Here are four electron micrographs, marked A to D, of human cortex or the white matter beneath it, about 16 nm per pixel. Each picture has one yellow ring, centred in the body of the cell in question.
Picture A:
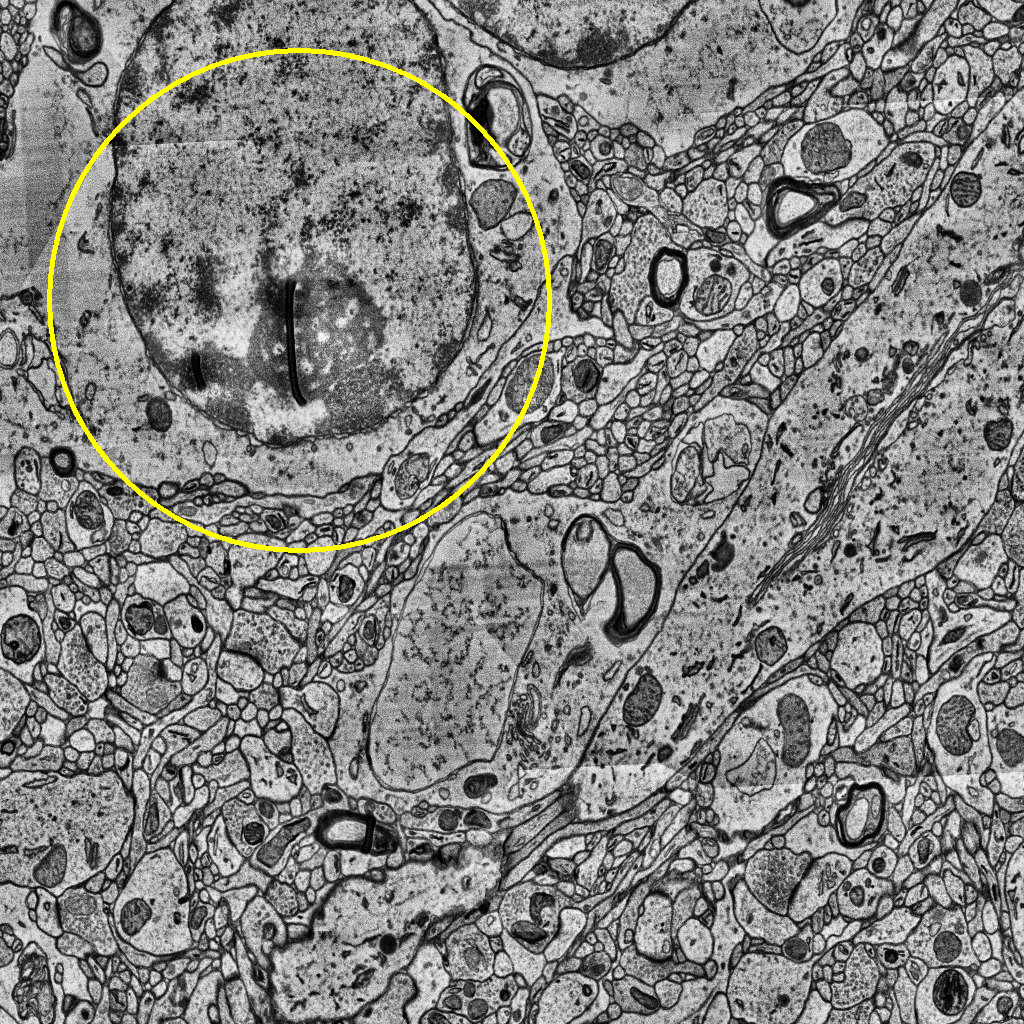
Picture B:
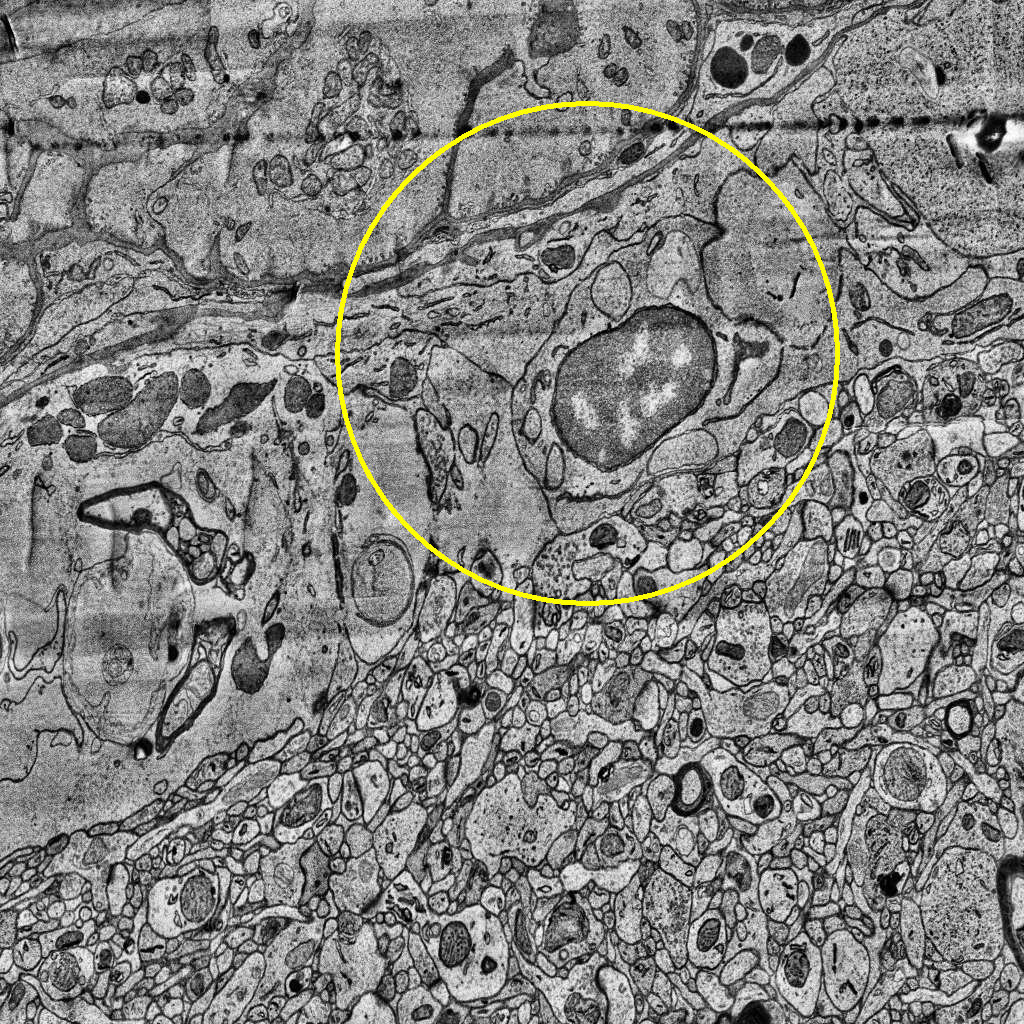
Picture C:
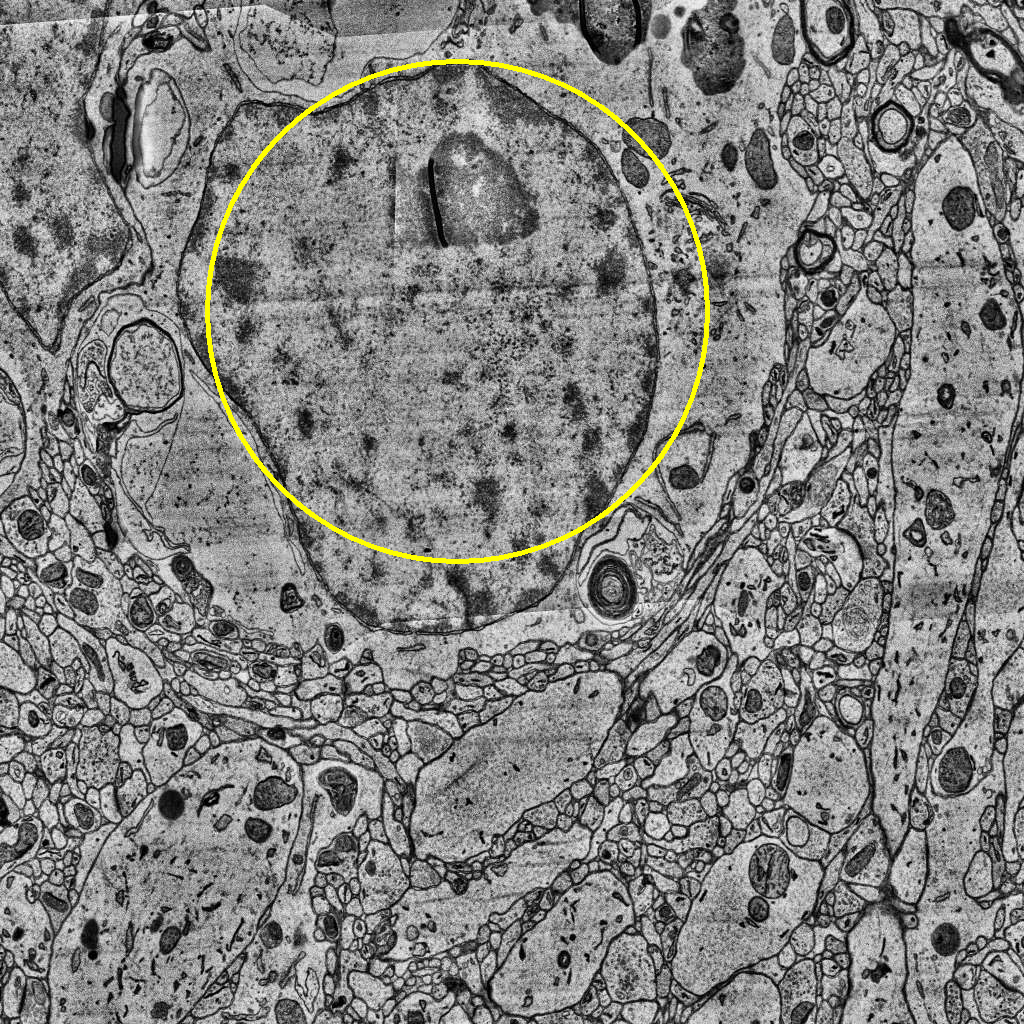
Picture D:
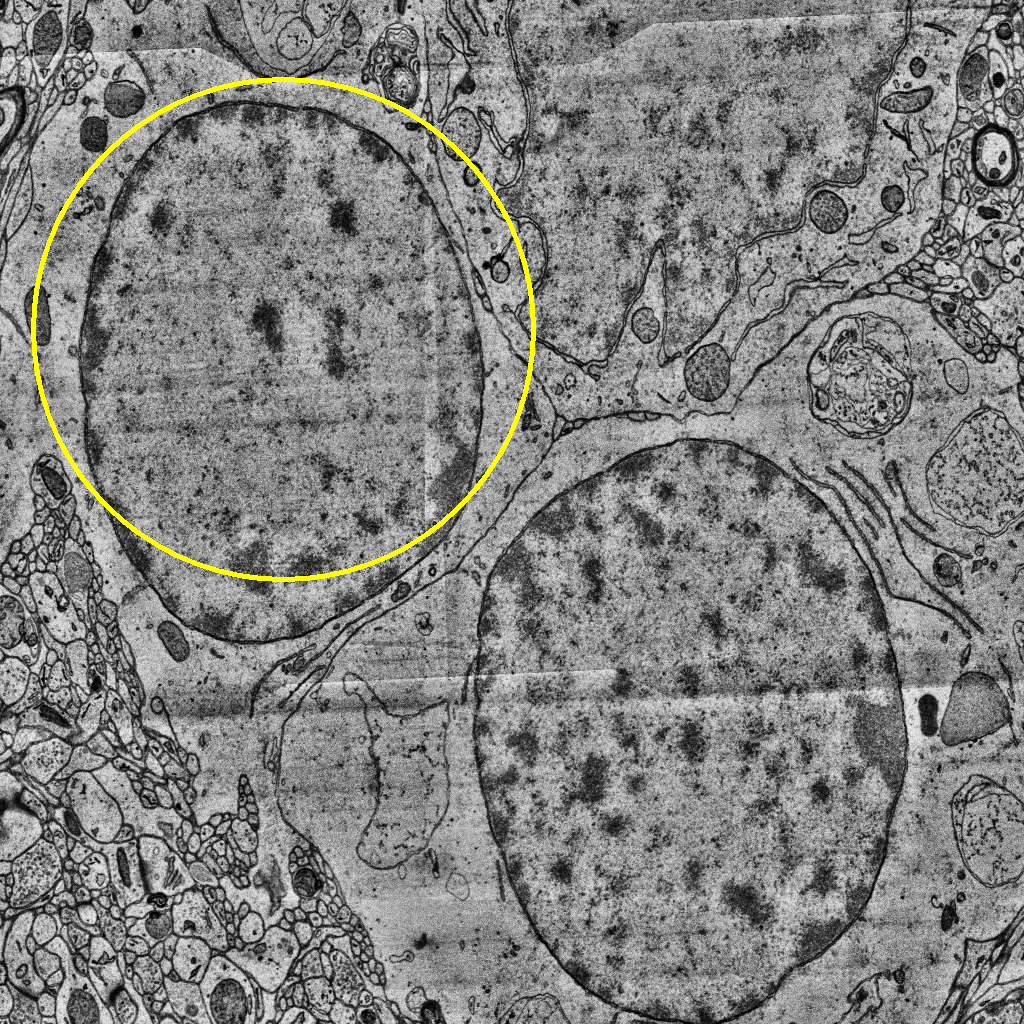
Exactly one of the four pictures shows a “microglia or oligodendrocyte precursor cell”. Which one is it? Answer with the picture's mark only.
B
